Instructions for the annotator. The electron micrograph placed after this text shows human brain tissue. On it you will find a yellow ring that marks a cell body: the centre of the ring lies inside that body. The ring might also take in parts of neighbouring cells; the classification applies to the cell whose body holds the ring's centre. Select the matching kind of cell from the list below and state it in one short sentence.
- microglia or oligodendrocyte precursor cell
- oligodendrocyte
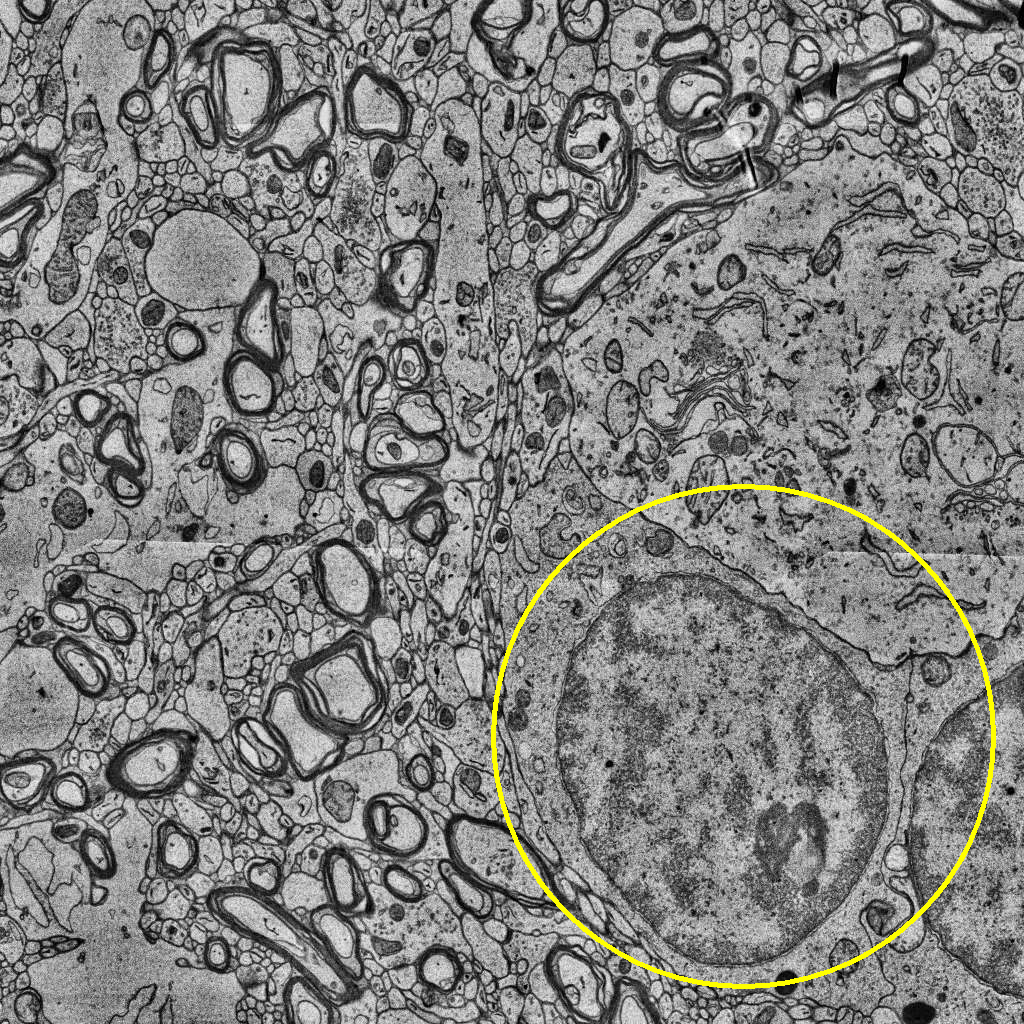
The centre of the ring lies in the cell body of an oligodendrocyte.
